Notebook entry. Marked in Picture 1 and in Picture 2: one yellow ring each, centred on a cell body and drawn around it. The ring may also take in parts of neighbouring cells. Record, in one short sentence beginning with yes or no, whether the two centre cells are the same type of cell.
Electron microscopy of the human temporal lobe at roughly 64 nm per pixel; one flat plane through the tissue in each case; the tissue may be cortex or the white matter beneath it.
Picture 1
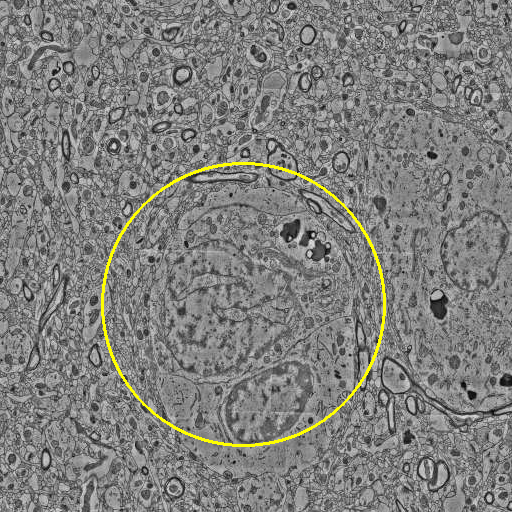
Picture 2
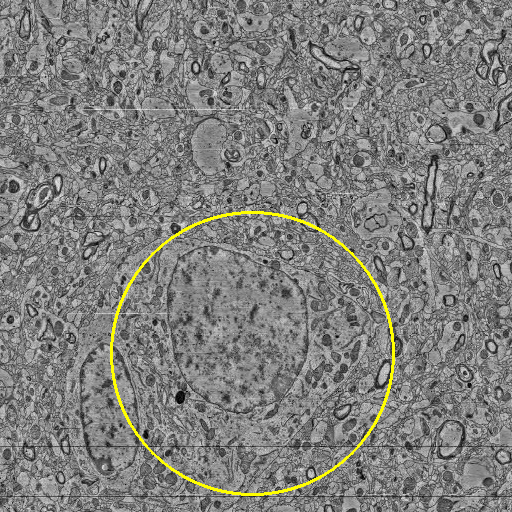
Yes, both are the same type of cell.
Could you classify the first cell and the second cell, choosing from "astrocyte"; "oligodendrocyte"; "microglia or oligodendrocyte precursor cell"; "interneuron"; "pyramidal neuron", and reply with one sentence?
In each of the two pictures, the ringed cell is an interneuron.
